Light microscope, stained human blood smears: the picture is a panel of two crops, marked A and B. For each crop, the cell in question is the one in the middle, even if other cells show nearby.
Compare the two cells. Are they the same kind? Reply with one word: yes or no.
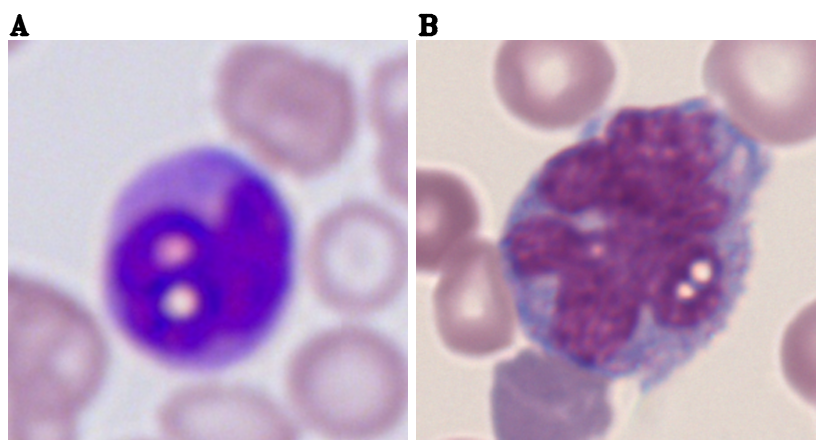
yes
